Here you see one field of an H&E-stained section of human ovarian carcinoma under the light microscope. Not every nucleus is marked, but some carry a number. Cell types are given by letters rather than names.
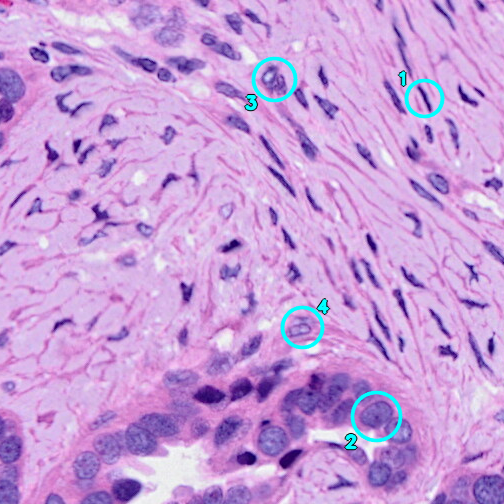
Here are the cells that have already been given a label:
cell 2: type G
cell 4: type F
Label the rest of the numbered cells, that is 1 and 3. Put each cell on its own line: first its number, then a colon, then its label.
1: type F
3: type F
